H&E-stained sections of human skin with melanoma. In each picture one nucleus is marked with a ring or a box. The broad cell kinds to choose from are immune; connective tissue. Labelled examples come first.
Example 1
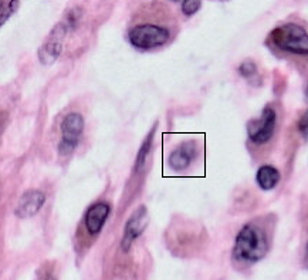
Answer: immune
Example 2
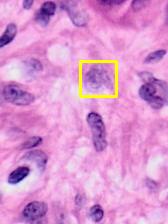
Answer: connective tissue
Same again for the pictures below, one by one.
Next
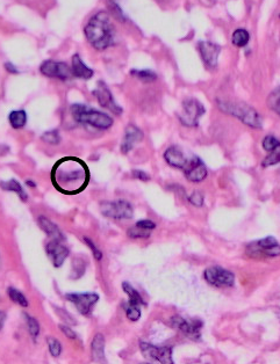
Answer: connective tissue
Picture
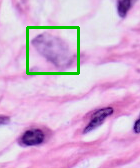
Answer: connective tissue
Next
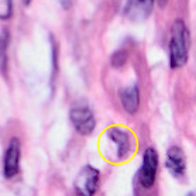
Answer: connective tissue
